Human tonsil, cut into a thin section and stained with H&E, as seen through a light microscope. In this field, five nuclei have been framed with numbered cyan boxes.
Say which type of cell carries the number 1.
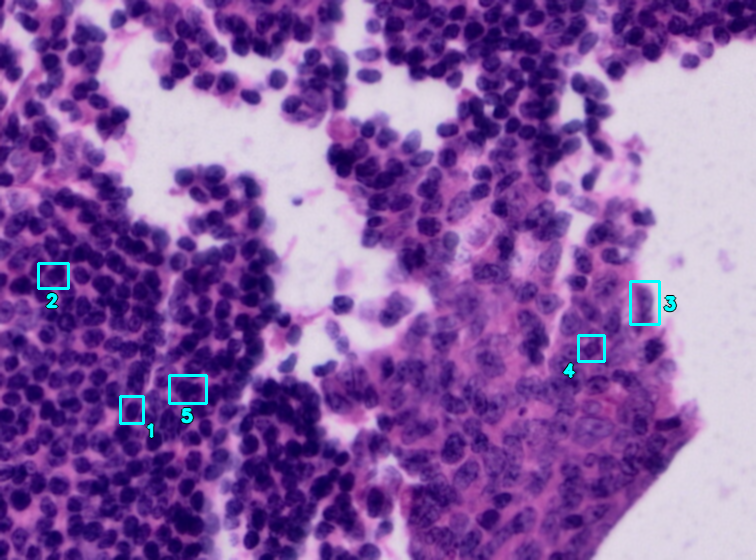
small lymphocyte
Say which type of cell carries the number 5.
small lymphocyte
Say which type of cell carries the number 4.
proliferating B cell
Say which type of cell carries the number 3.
proliferating B cell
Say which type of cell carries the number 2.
small lymphocyte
